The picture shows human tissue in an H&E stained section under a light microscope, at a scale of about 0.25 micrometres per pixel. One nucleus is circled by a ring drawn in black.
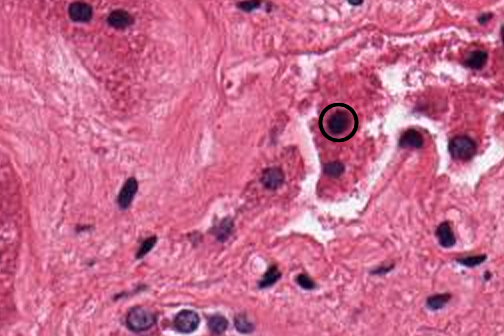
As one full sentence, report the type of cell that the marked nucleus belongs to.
The marked nucleus belongs to a proximal tubule cell.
